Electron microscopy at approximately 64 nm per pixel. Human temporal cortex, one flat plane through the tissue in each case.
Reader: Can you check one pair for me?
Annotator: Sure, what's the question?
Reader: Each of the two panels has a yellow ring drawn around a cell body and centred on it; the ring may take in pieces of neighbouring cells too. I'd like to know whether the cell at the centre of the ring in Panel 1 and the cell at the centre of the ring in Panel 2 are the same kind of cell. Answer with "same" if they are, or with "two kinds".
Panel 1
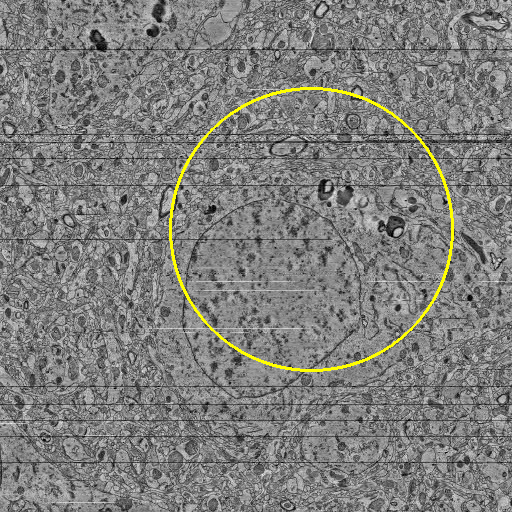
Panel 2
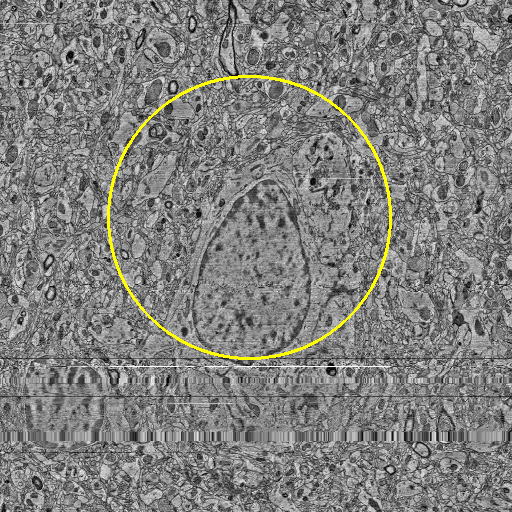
two kinds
